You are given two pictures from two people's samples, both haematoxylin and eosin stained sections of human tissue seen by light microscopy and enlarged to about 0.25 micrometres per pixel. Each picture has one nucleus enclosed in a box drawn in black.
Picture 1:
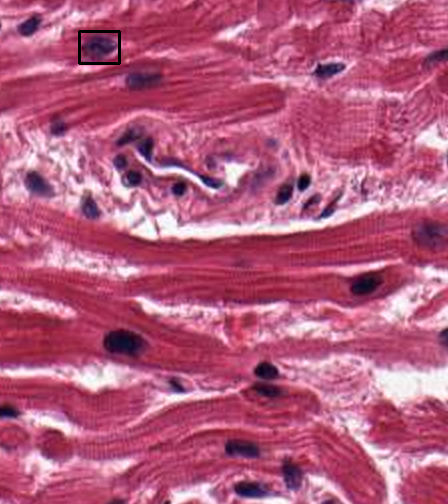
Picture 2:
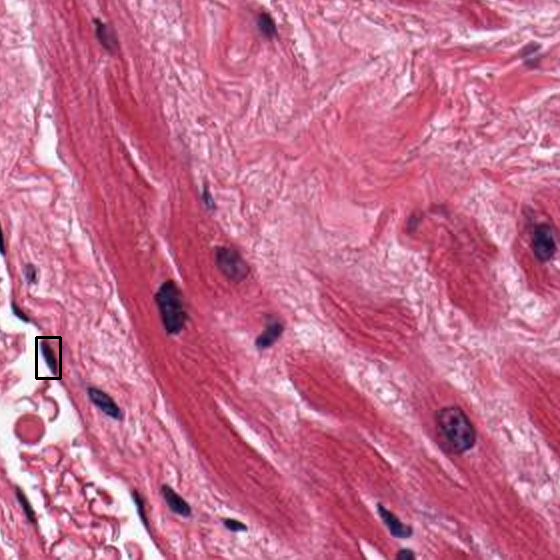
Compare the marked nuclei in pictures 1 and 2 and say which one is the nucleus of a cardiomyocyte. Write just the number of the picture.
1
